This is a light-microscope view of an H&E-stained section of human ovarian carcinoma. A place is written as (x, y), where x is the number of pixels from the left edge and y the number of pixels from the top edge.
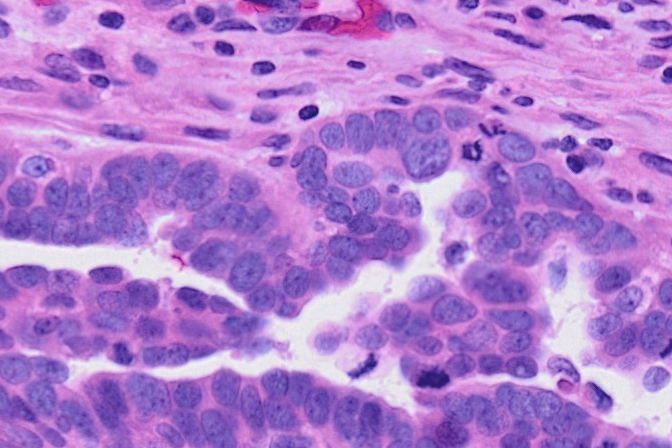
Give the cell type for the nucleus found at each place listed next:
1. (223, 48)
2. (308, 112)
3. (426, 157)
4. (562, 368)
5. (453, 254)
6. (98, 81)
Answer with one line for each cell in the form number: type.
1: lymphocyte
2: lymphocyte
3: carcinoma cell
4: macrophage or monocyte
5: macrophage or monocyte
6: lymphocyte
